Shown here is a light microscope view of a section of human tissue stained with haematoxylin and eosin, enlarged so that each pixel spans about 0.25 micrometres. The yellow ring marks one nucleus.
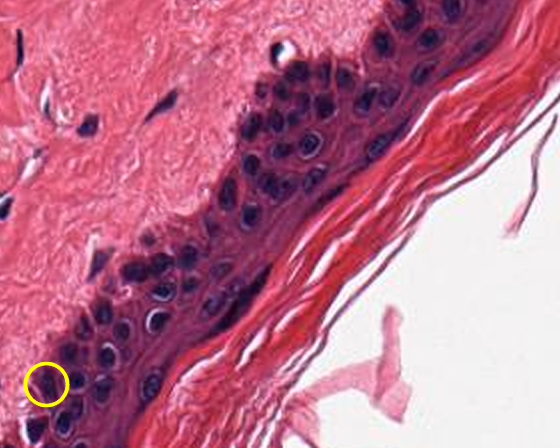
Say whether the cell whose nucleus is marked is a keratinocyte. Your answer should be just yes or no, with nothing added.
yes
